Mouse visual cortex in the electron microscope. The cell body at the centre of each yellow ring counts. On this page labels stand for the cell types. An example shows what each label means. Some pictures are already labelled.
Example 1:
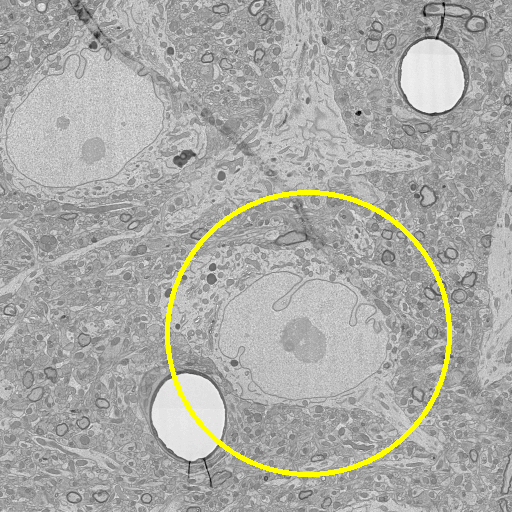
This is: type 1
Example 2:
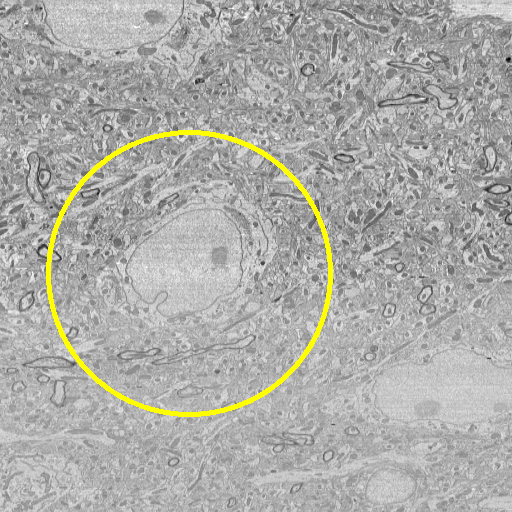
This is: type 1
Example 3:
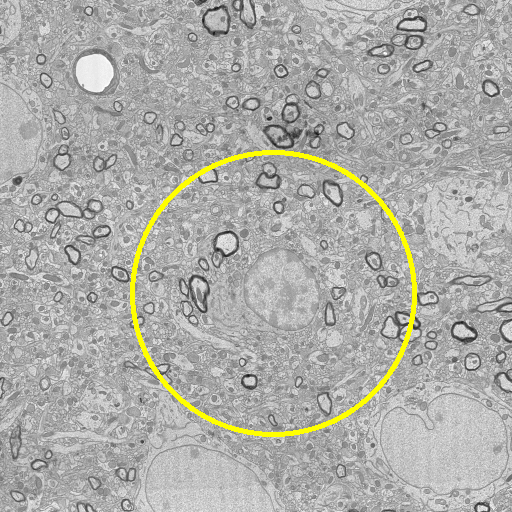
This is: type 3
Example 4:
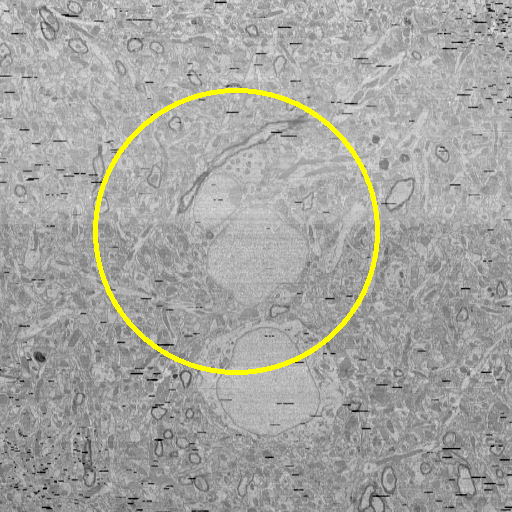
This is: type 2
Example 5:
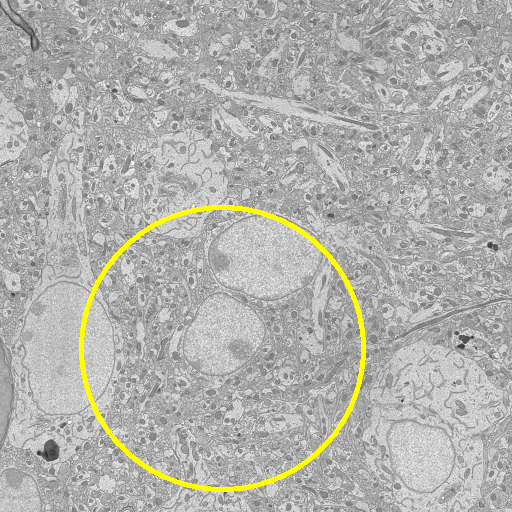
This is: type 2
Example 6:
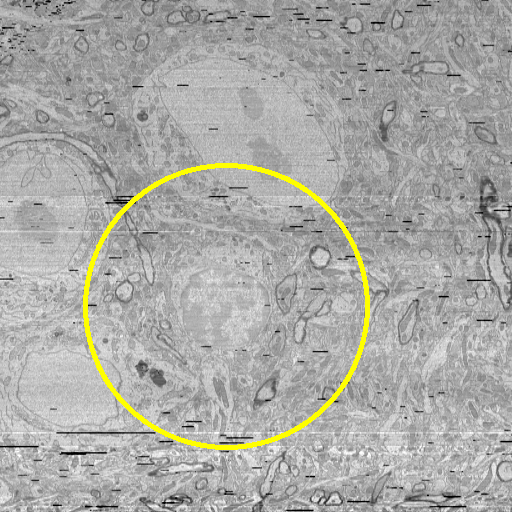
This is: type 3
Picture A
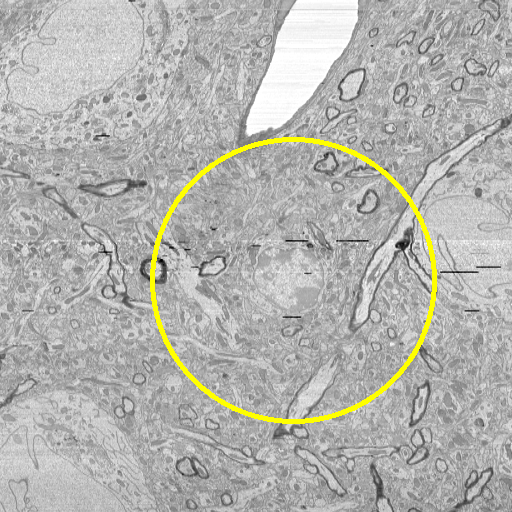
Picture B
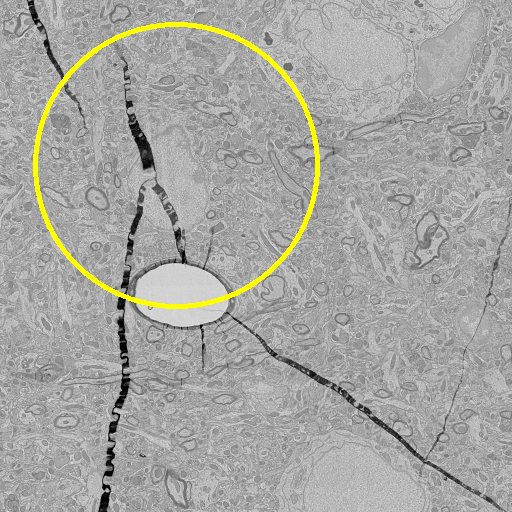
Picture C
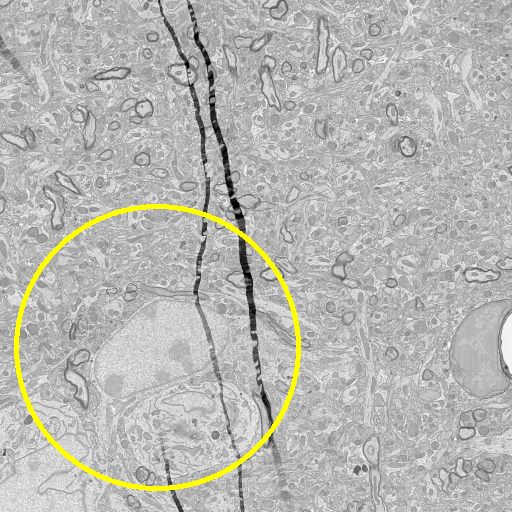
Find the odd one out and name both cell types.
Picture A: type 3. All others: type 2.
